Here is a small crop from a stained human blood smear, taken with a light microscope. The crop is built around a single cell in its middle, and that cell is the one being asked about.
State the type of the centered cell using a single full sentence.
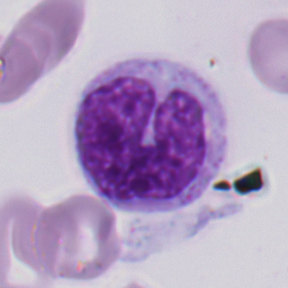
The cell at the middle of the crop is recognized as a band neutrophil.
